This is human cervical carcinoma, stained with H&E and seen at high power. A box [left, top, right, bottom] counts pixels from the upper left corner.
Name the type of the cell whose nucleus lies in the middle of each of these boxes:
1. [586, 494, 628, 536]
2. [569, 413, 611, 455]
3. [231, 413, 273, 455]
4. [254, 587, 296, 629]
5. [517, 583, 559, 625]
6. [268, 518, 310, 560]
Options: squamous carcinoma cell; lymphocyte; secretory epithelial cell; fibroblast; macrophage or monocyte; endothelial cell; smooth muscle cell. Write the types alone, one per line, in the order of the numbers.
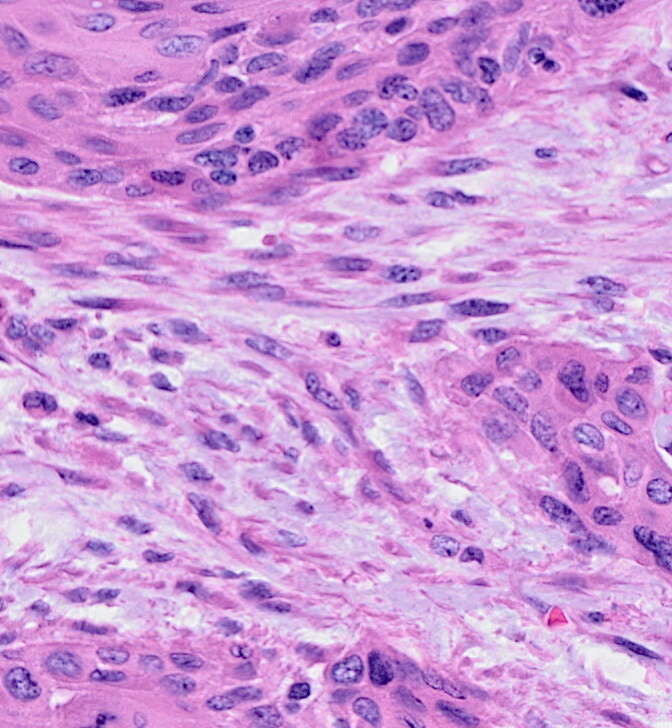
squamous carcinoma cell
squamous carcinoma cell
fibroblast
fibroblast
endothelial cell
fibroblast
